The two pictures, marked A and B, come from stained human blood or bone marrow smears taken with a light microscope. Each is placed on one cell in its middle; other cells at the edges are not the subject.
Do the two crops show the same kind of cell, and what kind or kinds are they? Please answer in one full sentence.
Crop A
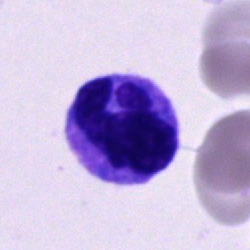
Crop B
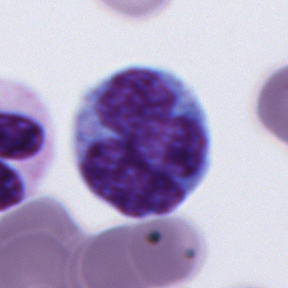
Yes, both crops show monocytes at their middles.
